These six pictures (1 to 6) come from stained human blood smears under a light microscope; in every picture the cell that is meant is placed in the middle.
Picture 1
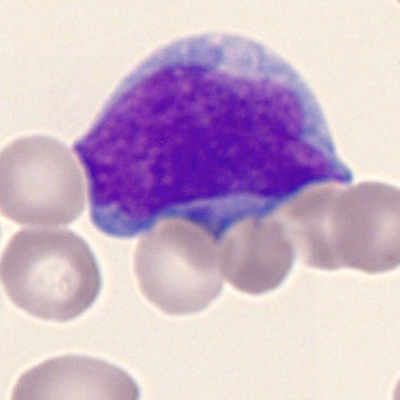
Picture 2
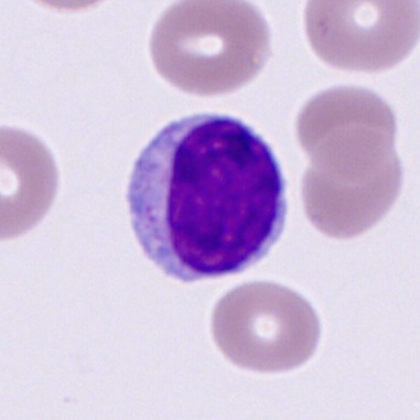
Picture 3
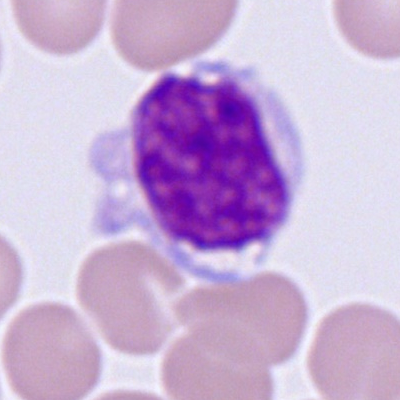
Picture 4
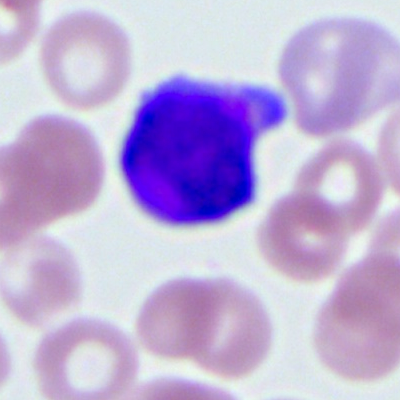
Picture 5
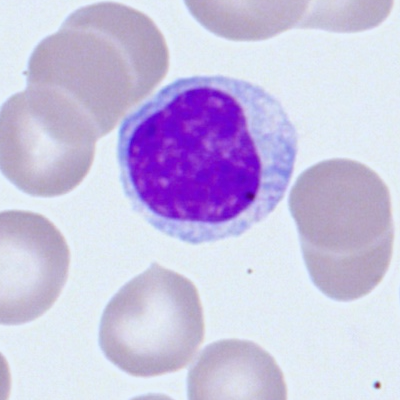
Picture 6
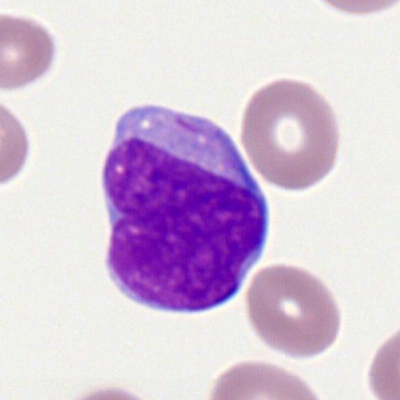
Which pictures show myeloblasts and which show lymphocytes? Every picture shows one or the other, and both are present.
1: myeloblast
2: lymphocyte
3: lymphocyte
4: myeloblast
5: lymphocyte
6: myeloblast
